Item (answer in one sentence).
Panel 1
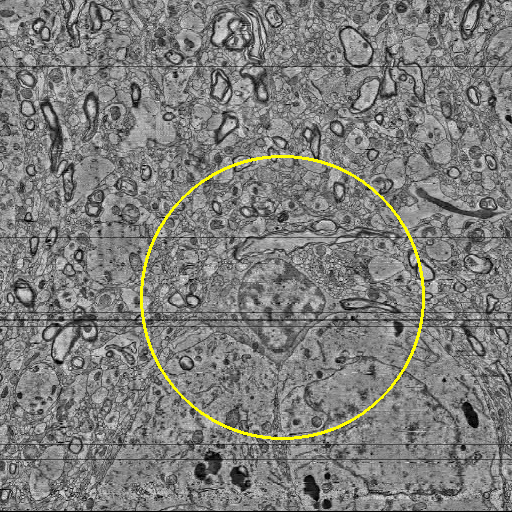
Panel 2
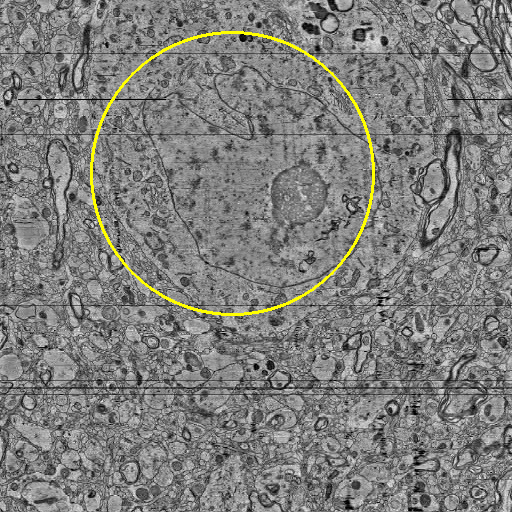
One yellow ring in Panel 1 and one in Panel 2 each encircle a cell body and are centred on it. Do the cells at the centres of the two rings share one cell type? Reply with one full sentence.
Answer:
No, Panel 1 and Panel 2 show cells of two types at the centres of their rings.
